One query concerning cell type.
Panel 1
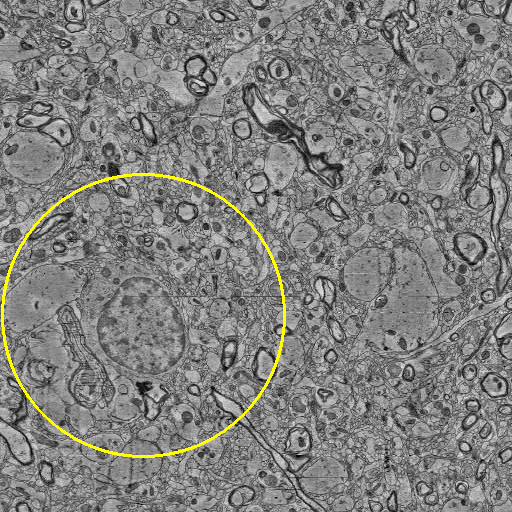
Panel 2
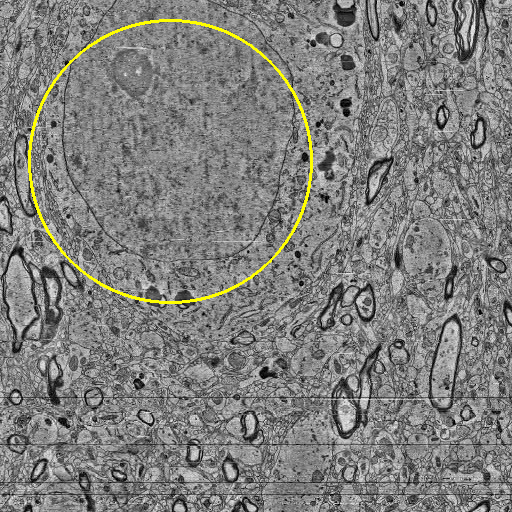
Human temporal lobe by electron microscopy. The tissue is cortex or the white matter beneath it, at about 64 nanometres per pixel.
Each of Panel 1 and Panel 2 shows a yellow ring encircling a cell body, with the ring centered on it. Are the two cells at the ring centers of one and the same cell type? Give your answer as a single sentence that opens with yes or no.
No, the cell centered in Panel 1 and the one in Panel 2 are of two types.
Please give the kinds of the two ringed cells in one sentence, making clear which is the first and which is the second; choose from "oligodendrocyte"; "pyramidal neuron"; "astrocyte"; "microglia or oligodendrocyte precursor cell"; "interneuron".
In the second picture the ringed cell is a pyramidal neuron; in the first it is an oligodendrocyte.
